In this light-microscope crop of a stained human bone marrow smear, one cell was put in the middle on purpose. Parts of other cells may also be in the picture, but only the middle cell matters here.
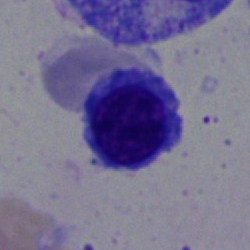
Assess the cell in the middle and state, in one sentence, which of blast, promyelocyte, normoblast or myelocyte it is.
The cell in the exact centre of the crop is a normoblast.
